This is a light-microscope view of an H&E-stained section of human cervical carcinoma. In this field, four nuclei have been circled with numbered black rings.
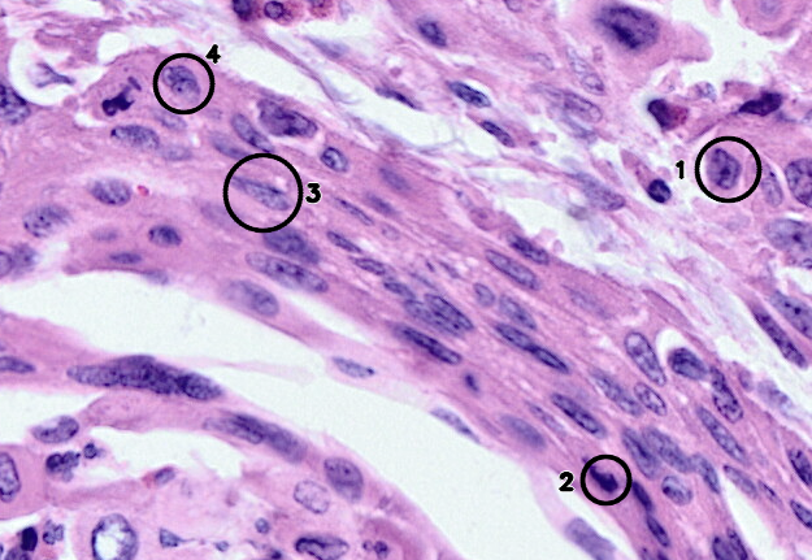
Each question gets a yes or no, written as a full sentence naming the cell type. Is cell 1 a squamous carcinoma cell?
No, sorry, the cell labelled 1 is not a squamous carcinoma cell; it is a macrophage or monocyte.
